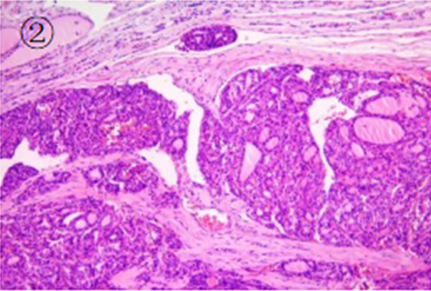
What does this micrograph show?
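Here a follicular tumor made of large cellular nodules is surrounded by pink fibrous capsule tissue, and a small nest of tumor cells sits inside a vessel at the top as a tumor thrombus. The tumor cells have pink cytoplasm and form many small follicles, some holding pink colloid-like material.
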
